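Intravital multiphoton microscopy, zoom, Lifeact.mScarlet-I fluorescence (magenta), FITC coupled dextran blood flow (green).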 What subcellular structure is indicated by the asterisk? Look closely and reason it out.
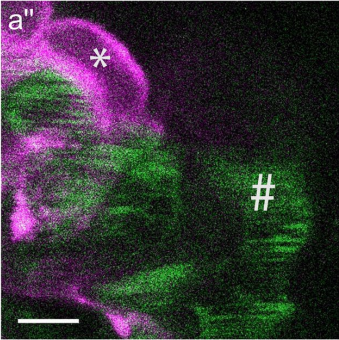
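The asterisk lies on a rounded magenta body. The body sits on the outside of green-filled capillary loops.
Podocyte cell bodies.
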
